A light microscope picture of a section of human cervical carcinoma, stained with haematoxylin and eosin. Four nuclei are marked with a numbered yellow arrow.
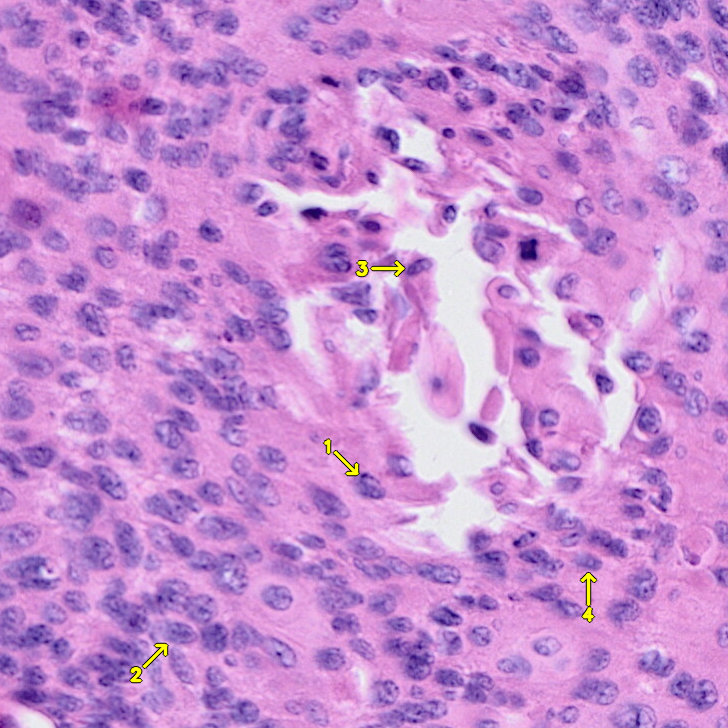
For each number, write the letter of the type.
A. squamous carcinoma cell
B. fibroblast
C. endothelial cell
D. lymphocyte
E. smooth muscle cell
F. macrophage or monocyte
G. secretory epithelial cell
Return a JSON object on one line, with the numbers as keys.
{"1": "A", "2": "A", "3": "F", "4": "A"}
